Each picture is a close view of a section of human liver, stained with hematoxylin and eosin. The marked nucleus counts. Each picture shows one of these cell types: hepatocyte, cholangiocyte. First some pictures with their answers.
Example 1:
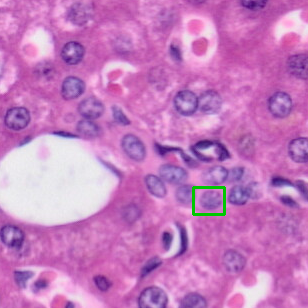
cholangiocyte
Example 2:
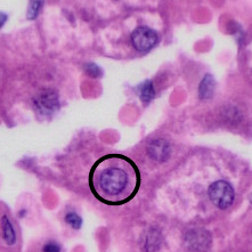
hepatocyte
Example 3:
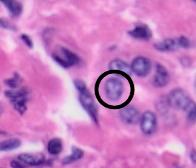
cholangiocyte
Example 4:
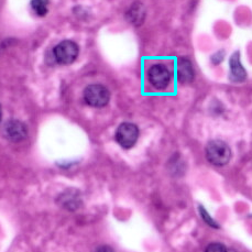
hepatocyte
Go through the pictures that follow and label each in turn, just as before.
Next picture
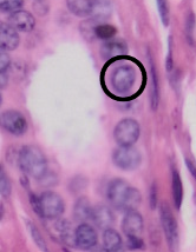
cholangiocyte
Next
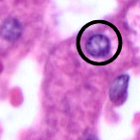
hepatocyte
